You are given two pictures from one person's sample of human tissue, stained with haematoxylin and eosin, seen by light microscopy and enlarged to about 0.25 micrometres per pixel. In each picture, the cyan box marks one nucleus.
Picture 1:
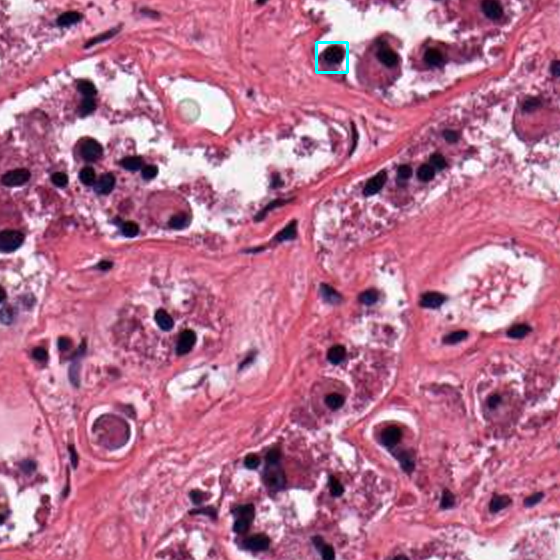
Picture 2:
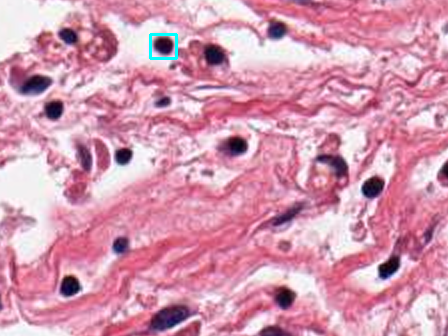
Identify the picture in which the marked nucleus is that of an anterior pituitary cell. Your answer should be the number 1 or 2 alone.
1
